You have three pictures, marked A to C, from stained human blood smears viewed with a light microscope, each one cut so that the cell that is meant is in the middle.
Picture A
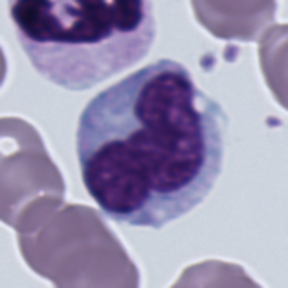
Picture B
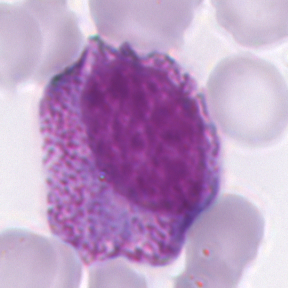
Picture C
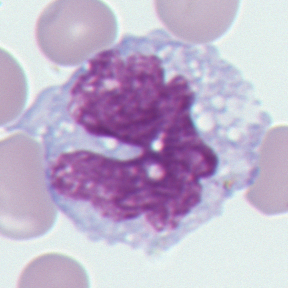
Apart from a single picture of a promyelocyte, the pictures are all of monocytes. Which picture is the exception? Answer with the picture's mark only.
B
